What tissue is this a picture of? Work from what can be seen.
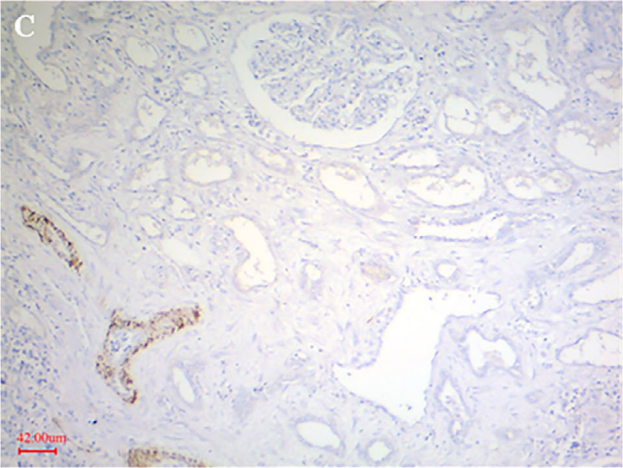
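A rounded glomerulus with capillary tufts inside a capsule lies at the top. Many tubules lined by cuboidal epithelium fill the field.
Kidney.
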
